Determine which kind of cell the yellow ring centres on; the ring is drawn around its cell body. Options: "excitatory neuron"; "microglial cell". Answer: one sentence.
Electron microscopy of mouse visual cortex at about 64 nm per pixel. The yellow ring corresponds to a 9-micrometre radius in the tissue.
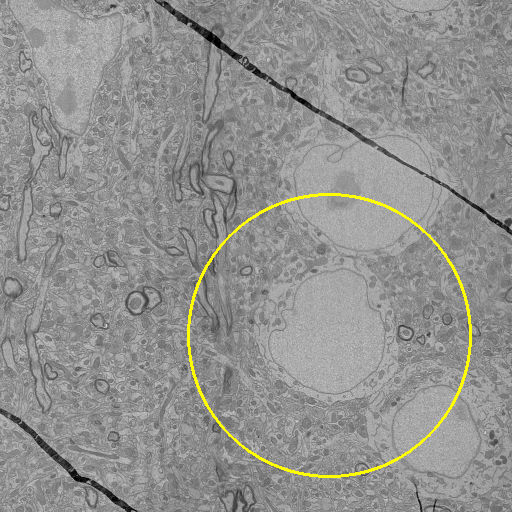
The ring centres on an excitatory neuron.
